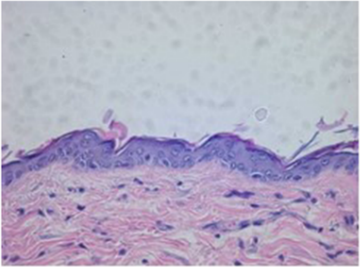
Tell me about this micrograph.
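Skin with a thin epidermis only a few cell layers deep, stained purple, with small closely set nuclei along its base and a gently undulating surface. A thin pink keratin layer lies on top, with small flakes lifting from the surface. Beneath, the dermis is pink and fibrous, made of wavy collagen bundles with scattered small, dark, spindle-shaped and oval nuclei of connective tissue cells. No adnexal structures are prominent in this field, and the boundary between epidermis and dermis is smooth.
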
